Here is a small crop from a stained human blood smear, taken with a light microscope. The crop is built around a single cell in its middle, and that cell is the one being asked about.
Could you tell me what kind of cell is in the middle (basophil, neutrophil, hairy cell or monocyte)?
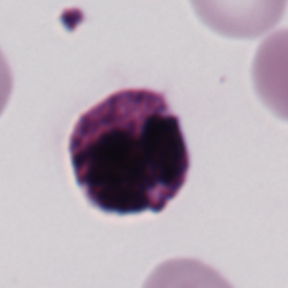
basophil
